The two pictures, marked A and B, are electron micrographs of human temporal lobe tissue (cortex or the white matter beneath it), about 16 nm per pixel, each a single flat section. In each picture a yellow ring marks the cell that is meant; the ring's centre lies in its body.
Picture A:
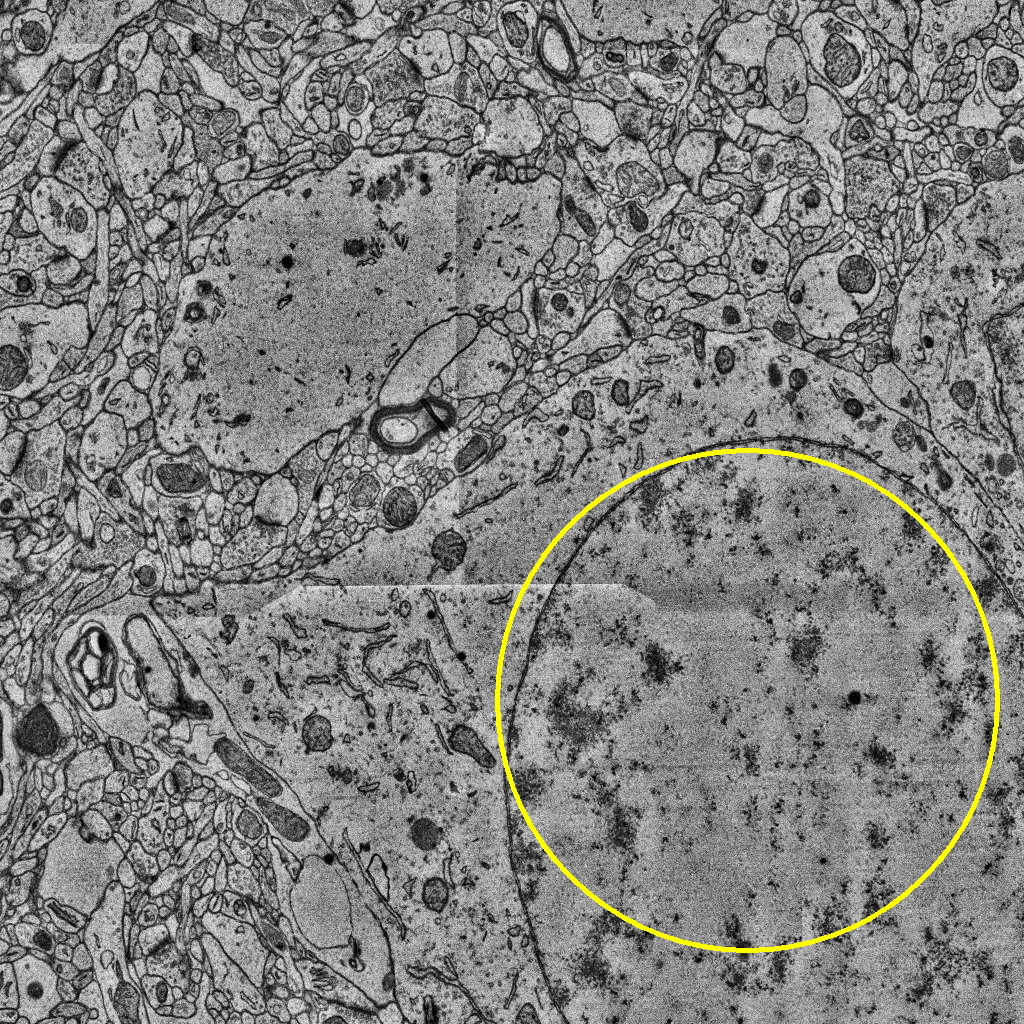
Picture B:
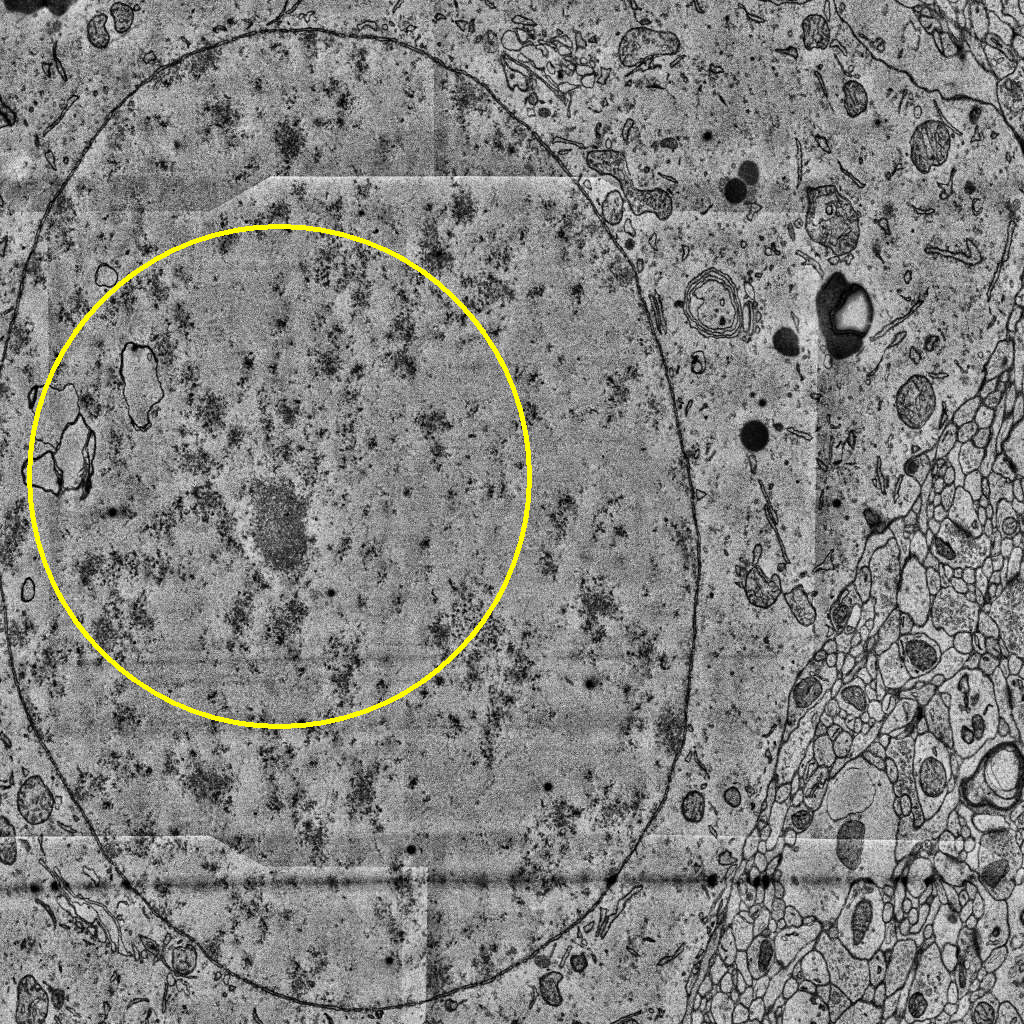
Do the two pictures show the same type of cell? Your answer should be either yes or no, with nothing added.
yes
